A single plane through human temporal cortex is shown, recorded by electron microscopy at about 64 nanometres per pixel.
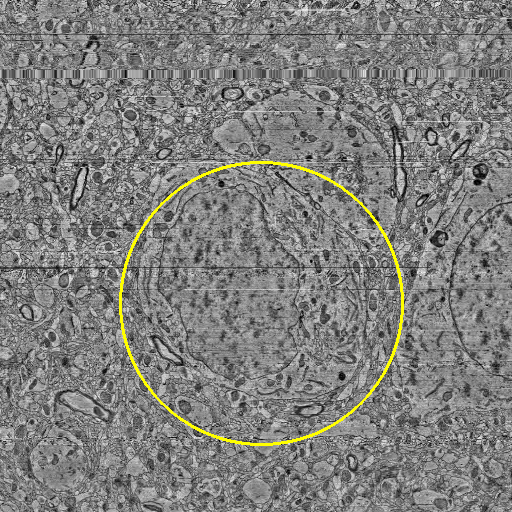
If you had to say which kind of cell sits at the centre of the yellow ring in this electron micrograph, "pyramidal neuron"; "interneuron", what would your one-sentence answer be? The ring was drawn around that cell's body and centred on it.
The cell sitting at the centre of the ring is an interneuron.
